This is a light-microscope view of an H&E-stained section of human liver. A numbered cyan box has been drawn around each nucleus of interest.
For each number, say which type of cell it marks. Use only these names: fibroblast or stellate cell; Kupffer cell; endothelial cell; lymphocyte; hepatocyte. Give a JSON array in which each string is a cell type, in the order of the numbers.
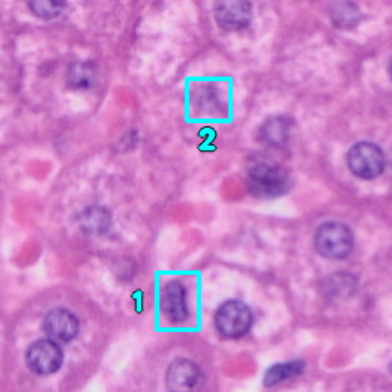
["fibroblast or stellate cell", "hepatocyte"]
